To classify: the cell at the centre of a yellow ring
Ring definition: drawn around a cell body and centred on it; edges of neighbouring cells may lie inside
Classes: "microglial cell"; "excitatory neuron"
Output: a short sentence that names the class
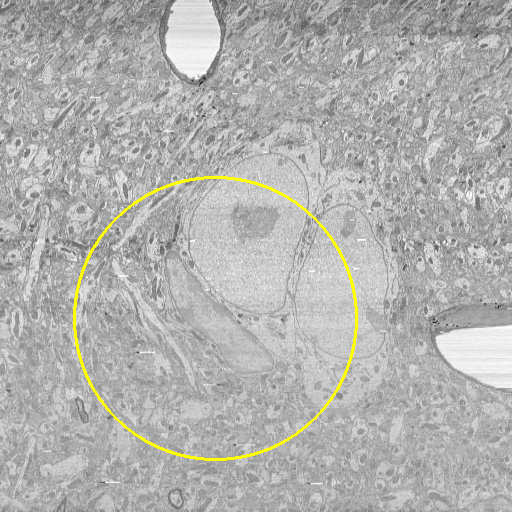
The ringed cell is a microglial cell.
